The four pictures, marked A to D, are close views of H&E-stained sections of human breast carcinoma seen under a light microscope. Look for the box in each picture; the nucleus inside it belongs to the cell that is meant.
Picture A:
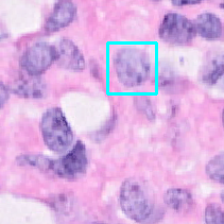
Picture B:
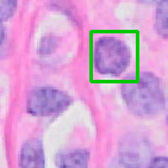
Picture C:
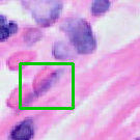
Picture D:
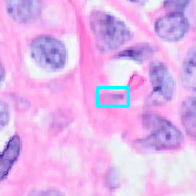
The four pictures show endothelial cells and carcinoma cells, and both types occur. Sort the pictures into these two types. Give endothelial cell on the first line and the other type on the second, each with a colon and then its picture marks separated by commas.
endothelial cell: C, D
carcinoma cell: A, B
